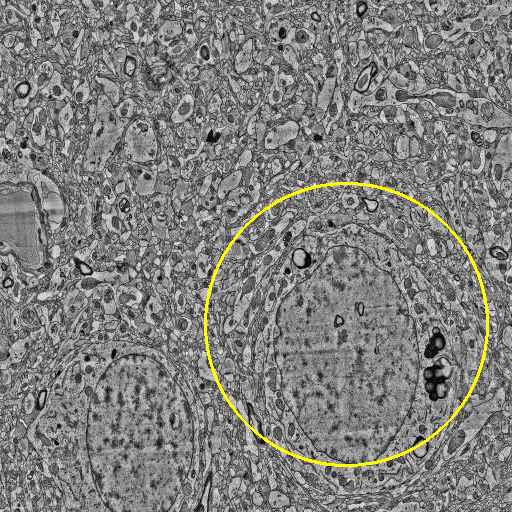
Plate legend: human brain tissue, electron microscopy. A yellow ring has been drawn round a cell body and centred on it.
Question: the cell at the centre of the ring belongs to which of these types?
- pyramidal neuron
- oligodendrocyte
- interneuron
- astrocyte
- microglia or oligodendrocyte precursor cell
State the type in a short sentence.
The cell in the middle of the ring is a pyramidal neuron.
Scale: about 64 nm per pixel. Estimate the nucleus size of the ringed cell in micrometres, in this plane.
Roughly 14 micrometres by 9 micrometres, in this plane.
